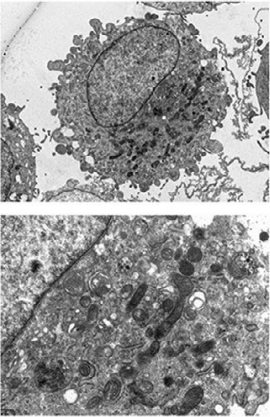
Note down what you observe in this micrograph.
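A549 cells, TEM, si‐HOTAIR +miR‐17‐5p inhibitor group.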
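Transmission electron micrographs of a rounded cultured cell with an oval nucleus and a cytoplasm crowded with organelles, its border ringed by many short surface projections. The enlarged view shows numerous round membrane-bound vacuoles, some with double membranes and enclosed content, lying among elongated mitochondria.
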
